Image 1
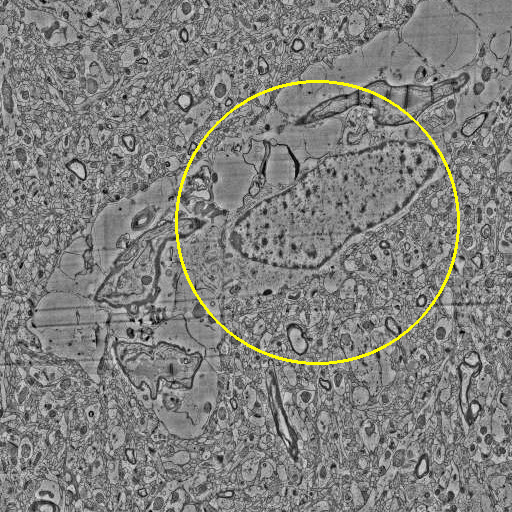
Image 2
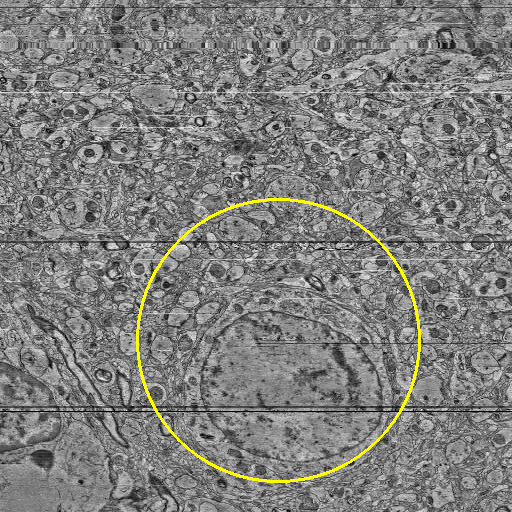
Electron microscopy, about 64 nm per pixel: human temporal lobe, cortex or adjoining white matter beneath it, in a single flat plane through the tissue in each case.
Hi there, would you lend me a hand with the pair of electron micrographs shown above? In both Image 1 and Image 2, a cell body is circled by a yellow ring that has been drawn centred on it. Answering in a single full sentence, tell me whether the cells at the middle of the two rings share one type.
No, the ringed cells in Image 1 and Image 2 belong to two types.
